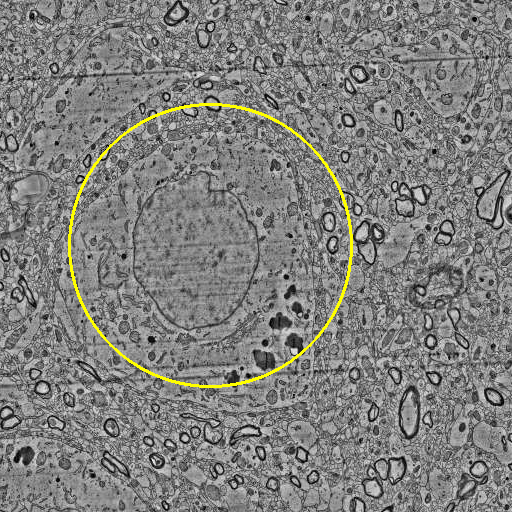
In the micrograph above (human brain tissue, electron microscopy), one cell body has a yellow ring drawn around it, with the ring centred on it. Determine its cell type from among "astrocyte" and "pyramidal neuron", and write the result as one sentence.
The cell whose body is ringed is a pyramidal neuron.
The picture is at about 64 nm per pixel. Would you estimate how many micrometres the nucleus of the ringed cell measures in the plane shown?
The ringed cell's nucleus is about 10 micrometres long and 8 micrometres wide in this plane.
